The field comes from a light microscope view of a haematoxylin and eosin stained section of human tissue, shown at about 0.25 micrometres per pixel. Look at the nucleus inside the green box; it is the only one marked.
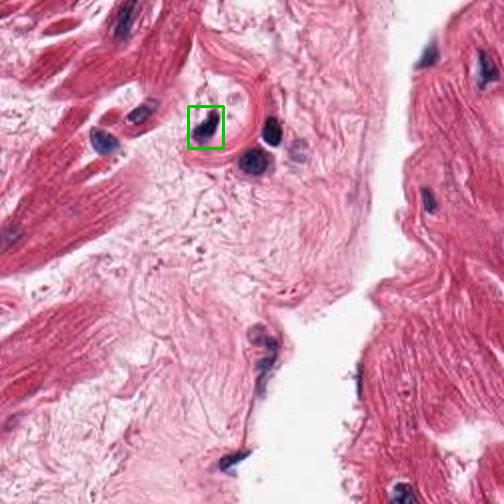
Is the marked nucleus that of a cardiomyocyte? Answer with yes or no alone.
no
